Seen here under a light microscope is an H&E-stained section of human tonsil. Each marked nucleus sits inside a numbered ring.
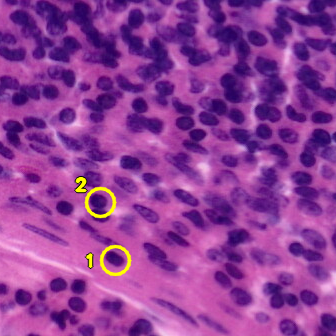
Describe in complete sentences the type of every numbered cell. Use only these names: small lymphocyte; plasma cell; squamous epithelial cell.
Cell 1 is a squamous epithelial cell and cell 2 is a plasma cell.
